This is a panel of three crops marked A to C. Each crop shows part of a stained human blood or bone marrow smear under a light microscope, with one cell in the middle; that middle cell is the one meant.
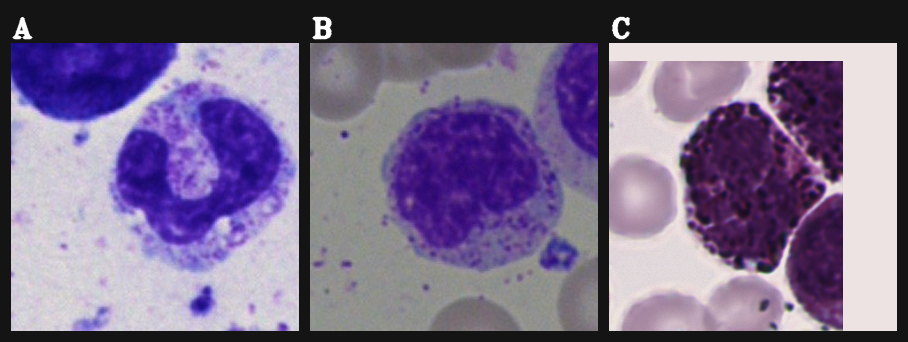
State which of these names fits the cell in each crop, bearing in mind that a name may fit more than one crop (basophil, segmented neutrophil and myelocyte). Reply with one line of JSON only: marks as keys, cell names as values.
{"A": "segmented neutrophil", "B": "myelocyte", "C": "basophil"}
